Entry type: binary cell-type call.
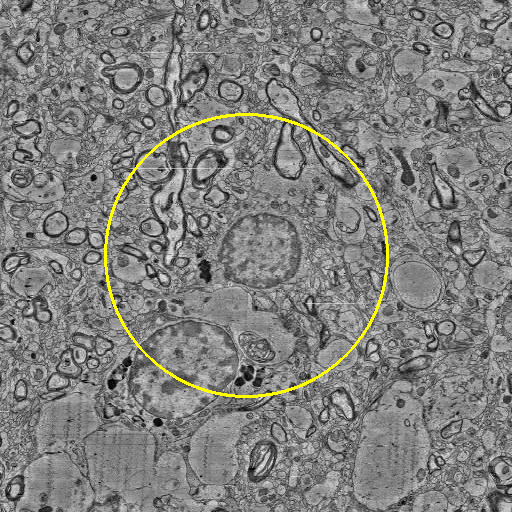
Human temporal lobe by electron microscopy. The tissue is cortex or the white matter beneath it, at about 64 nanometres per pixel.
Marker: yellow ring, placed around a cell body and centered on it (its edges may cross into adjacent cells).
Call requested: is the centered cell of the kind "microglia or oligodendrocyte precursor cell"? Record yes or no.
no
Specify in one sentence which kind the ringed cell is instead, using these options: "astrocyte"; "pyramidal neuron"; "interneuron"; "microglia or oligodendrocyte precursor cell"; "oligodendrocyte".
The cell at the ring centre is an oligodendrocyte.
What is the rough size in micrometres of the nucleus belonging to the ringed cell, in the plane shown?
Roughly 5 micrometers across, in this plane.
